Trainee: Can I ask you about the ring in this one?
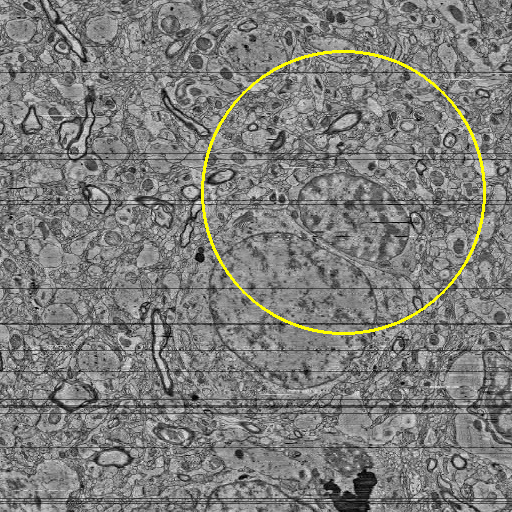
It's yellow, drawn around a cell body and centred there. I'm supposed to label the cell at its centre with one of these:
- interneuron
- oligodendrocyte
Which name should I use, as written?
oligodendrocyte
